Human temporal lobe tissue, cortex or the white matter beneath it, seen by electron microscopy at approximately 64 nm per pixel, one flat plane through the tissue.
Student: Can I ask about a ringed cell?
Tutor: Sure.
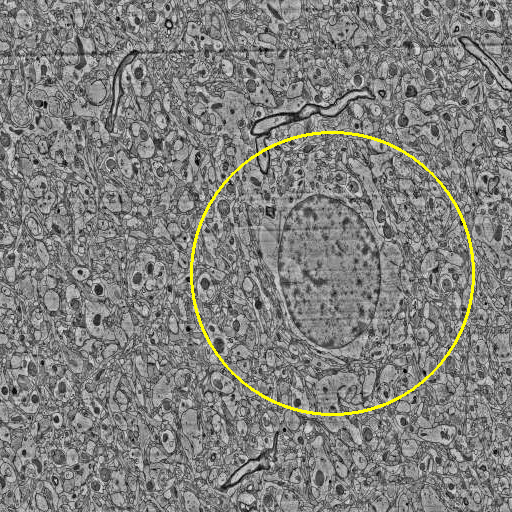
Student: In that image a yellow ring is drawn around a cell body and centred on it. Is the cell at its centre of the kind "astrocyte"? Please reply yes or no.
Yes, the cell is of that kind.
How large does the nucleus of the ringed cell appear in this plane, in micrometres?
In this plane the nucleus is clearly longer than it is wide: roughly 10 by 6 micrometres.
